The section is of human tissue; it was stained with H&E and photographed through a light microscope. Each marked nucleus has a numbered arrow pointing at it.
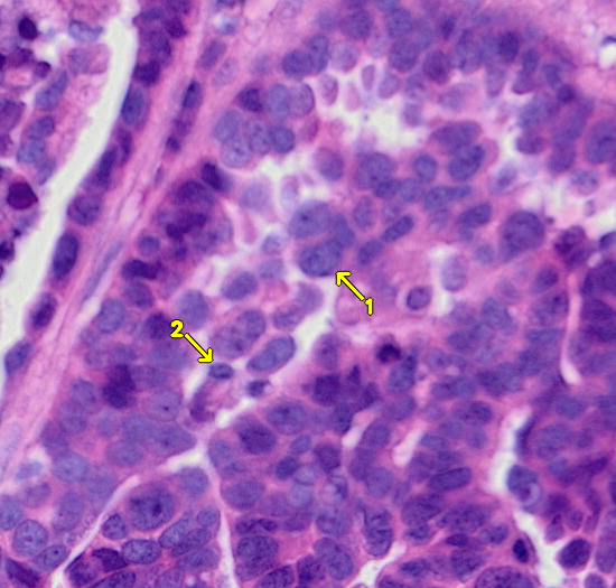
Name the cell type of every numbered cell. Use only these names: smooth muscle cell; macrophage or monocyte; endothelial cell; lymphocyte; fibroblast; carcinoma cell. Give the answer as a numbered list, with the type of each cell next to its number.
1. carcinoma cell
2. macrophage or monocyte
